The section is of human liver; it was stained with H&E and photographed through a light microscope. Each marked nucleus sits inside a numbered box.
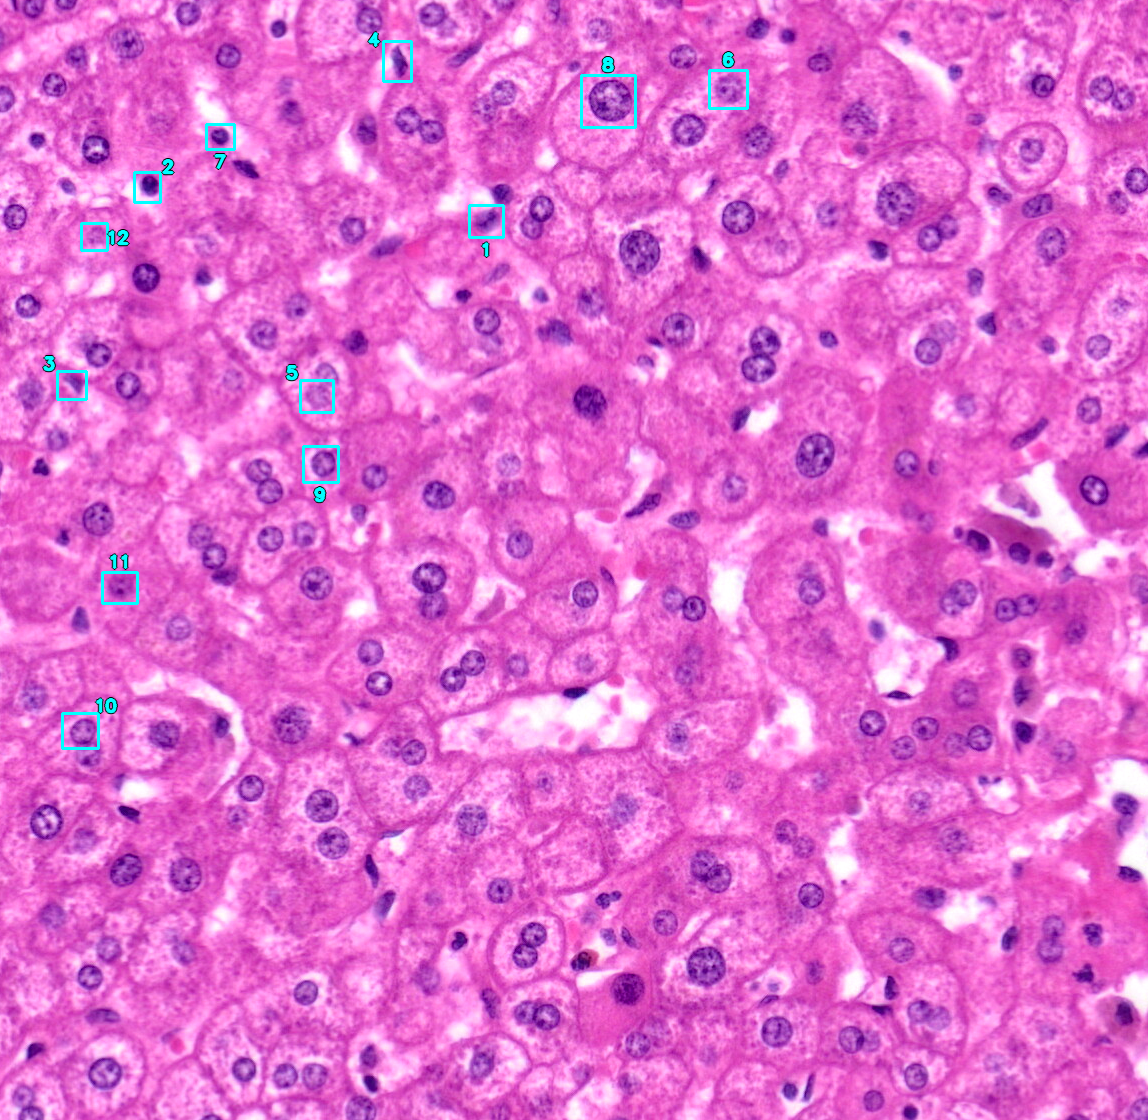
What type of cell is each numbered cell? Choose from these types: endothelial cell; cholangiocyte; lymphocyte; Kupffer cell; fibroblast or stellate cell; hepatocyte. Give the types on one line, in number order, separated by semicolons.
endothelial cell; lymphocyte; endothelial cell; endothelial cell; hepatocyte; hepatocyte; lymphocyte; hepatocyte; hepatocyte; hepatocyte; hepatocyte; hepatocyte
